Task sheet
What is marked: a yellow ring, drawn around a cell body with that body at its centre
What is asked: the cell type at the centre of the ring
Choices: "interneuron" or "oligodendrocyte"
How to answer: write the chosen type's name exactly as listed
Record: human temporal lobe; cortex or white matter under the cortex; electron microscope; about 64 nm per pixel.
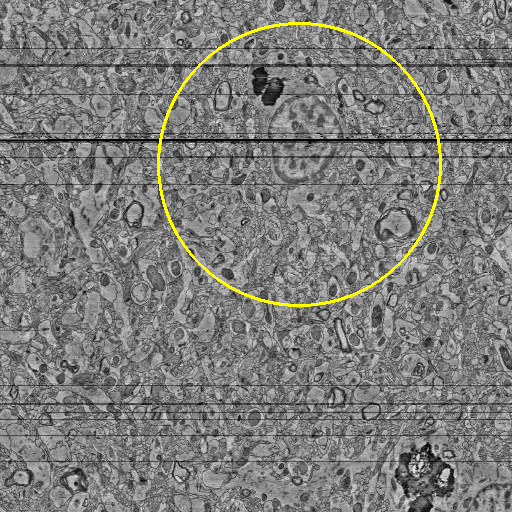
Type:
oligodendrocyte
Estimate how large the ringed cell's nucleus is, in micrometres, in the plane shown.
Approximately 6 by 5 micrometers in this plane.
